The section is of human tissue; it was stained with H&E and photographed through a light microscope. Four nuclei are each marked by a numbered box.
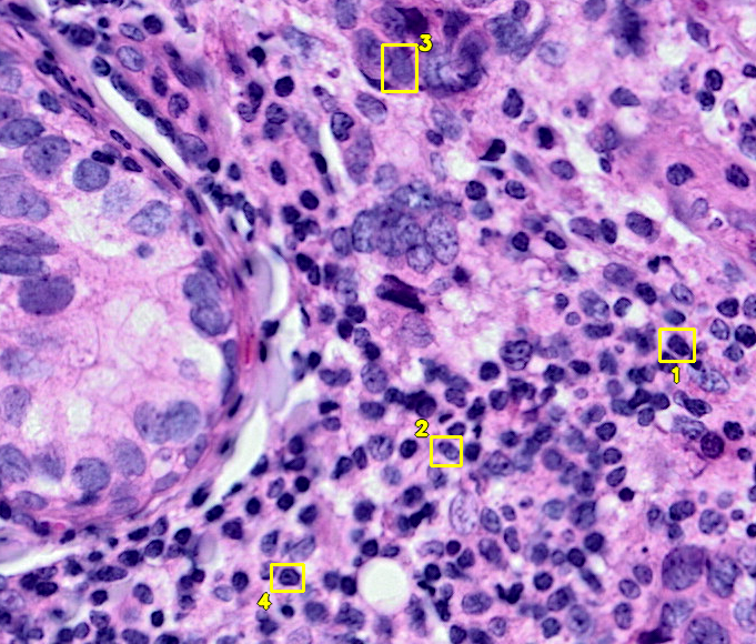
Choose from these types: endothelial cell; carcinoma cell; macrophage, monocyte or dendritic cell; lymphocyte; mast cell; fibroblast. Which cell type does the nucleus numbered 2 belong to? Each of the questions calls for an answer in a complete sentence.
The cell numbered 2 has been identified as a lymphocyte.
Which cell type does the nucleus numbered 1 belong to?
The cell tagged with 1 in this tissue section is a lymphocyte.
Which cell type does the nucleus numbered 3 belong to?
The one numbered 3 among the marked cells is a carcinoma cell.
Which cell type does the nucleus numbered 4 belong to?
The cell bearing label 4 corresponds to a lymphocyte.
